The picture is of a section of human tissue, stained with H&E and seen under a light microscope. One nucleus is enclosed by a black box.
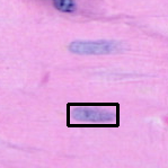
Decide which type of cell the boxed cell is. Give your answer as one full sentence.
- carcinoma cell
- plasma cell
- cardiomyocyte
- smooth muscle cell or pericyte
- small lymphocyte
The cell meant here is a cardiomyocyte.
